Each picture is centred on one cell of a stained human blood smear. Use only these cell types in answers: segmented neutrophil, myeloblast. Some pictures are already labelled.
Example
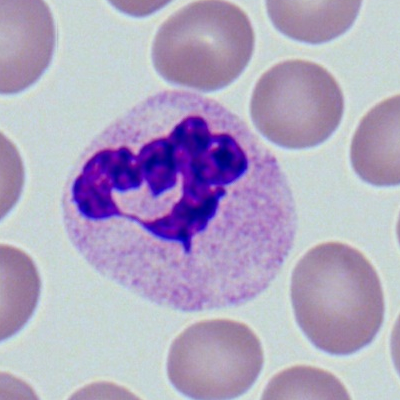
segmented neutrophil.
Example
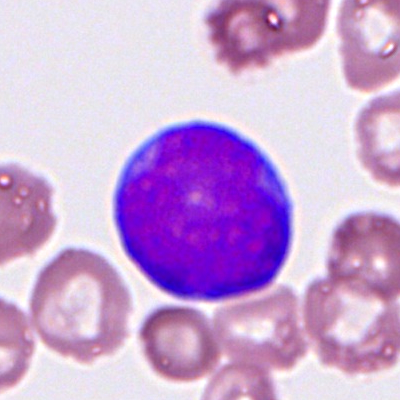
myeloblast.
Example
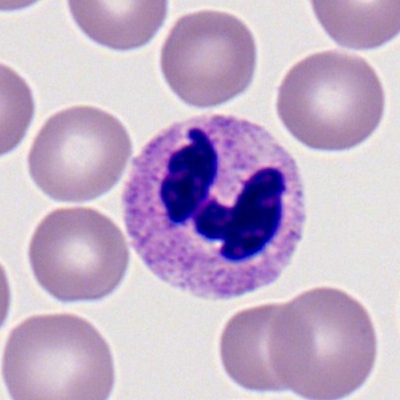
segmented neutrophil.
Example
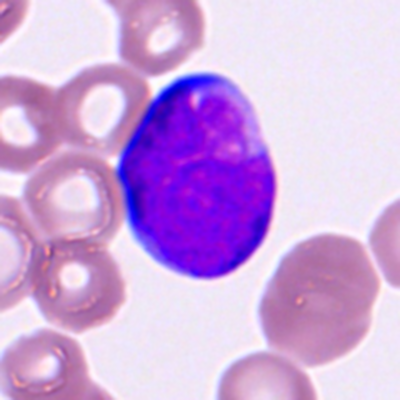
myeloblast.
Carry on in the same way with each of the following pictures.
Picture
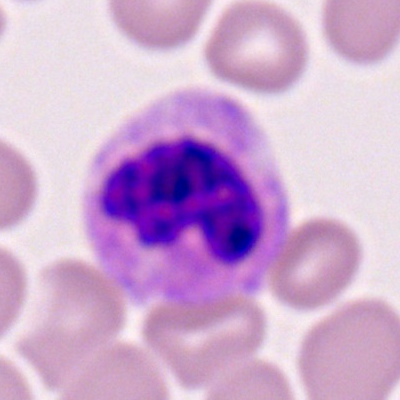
segmented neutrophil.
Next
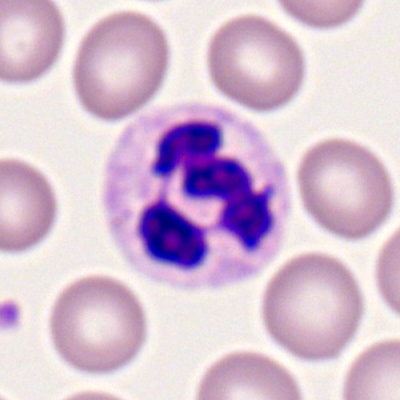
segmented neutrophil.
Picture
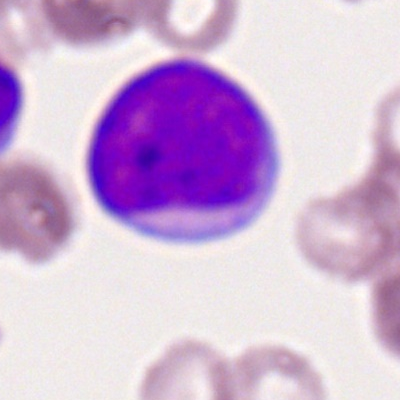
myeloblast.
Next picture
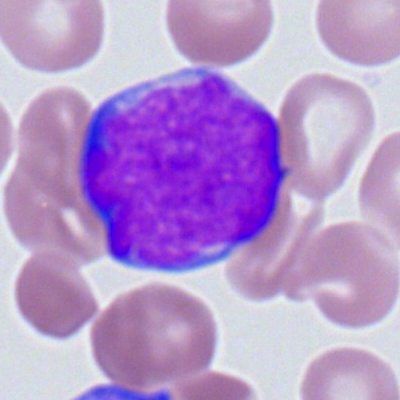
myeloblast.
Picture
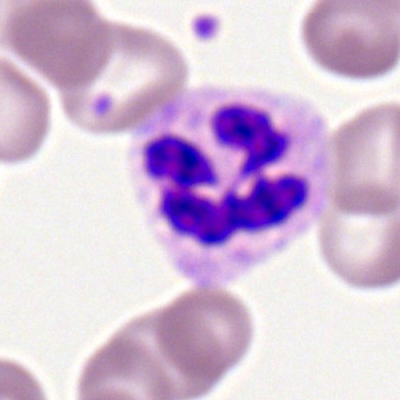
segmented neutrophil.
